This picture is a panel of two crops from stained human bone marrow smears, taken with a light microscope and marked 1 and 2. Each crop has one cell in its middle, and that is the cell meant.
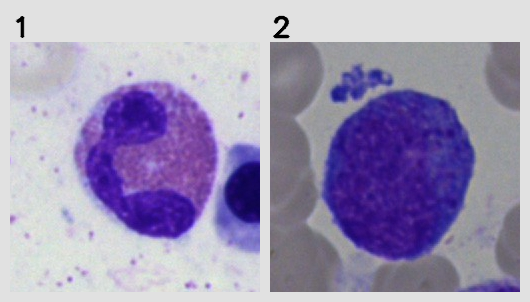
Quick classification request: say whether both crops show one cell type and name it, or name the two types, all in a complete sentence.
No, within crop 1 lies an eosinophil, and within crop 2 lies a promyelocyte.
